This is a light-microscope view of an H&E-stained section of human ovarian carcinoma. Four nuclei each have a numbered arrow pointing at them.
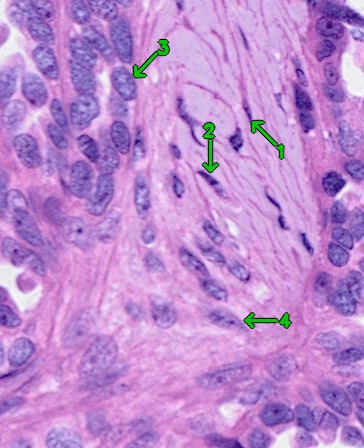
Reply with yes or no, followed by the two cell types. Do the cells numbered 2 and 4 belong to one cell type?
Yes, cells 2 and 4 both qualify as fibroblasts.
